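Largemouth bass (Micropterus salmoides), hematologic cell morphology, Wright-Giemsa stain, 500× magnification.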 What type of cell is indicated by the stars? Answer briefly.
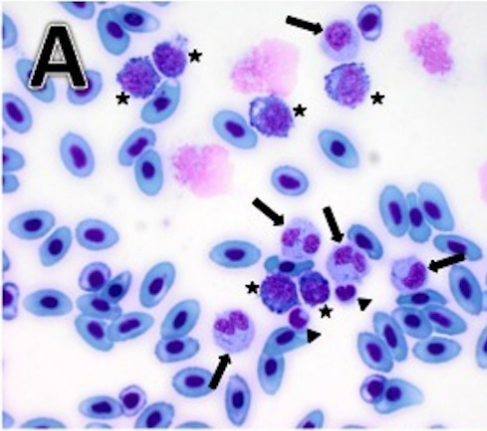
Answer: Monocytes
